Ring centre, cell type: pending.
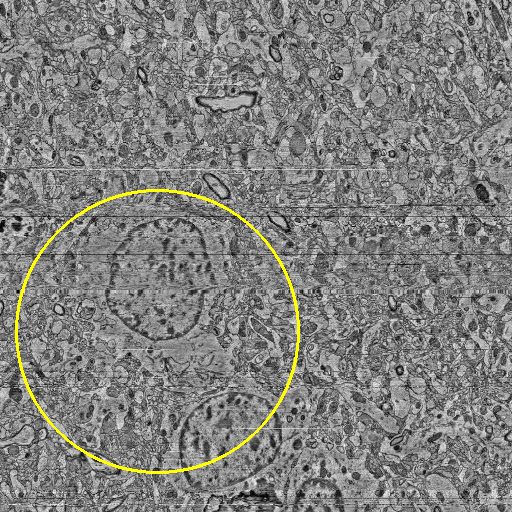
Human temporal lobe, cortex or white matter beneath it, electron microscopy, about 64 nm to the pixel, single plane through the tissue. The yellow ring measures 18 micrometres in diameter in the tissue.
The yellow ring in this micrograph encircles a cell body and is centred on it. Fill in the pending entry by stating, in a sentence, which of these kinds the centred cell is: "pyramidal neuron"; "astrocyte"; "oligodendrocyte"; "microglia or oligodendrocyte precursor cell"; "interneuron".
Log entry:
The centred cell is recorded as an astrocyte.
